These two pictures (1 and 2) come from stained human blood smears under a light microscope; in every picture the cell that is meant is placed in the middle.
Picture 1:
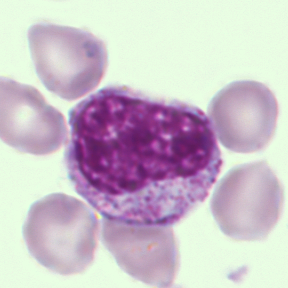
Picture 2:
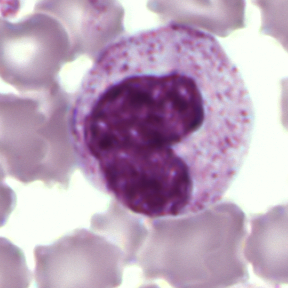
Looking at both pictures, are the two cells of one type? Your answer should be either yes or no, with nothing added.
yes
